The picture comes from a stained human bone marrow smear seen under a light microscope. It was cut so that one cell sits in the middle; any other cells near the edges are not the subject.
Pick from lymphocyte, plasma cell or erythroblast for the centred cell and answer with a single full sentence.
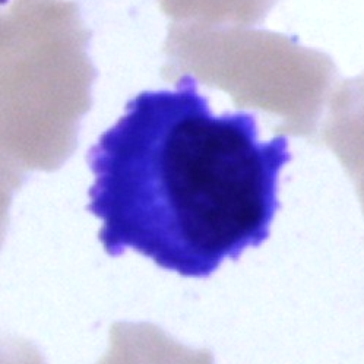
In the crop, the cell of interest at the centre is a plasma cell.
